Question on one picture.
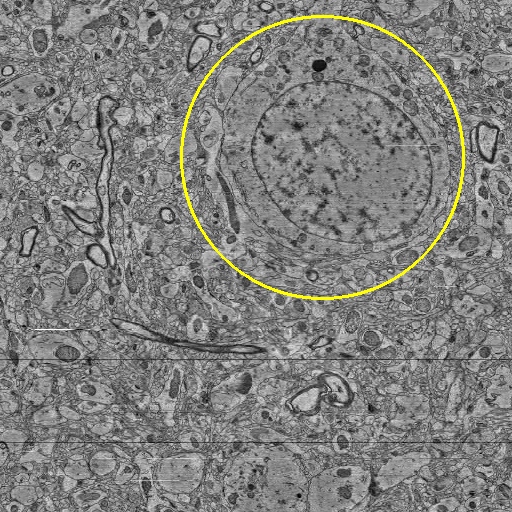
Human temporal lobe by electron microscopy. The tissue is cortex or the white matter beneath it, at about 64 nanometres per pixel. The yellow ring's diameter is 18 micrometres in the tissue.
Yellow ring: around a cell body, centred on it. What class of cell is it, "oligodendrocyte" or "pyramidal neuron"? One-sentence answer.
This is a pyramidal neuron, the cell the ring is centred on.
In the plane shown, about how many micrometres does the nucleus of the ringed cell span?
Approximately 12 micrometres long and 10 micrometres wide, in this plane.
